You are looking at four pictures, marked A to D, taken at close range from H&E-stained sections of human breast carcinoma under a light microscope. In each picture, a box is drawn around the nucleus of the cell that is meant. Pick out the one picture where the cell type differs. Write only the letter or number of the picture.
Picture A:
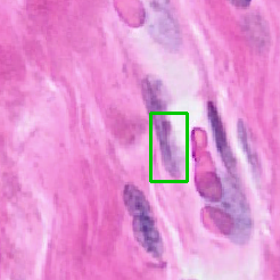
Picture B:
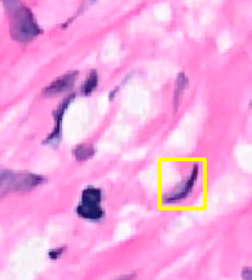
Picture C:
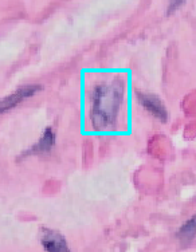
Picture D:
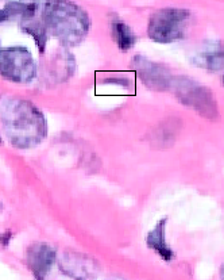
B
